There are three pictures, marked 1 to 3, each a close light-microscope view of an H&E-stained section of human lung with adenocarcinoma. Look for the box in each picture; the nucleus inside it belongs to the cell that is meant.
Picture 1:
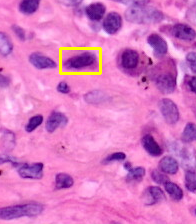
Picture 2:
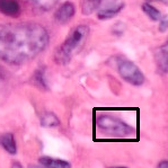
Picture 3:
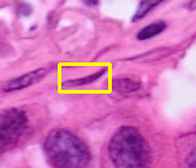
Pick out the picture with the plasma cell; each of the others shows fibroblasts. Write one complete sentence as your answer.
Picture 1 is the one that shows the plasma cell.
